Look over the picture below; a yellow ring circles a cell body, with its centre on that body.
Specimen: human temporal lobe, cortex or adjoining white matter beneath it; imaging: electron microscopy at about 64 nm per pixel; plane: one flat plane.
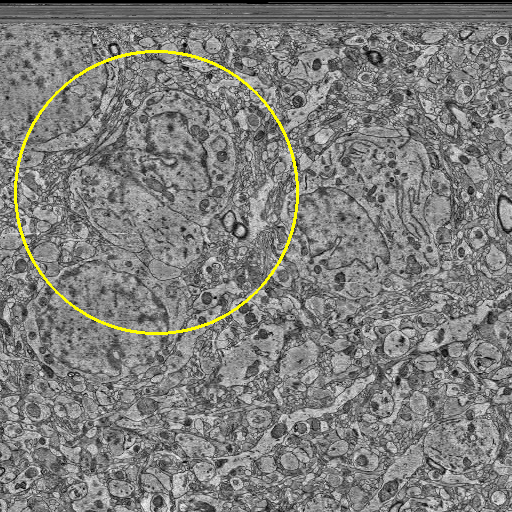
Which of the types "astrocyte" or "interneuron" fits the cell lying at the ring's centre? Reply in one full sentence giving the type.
The picture shows an interneuron at the centre of the yellow ring.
